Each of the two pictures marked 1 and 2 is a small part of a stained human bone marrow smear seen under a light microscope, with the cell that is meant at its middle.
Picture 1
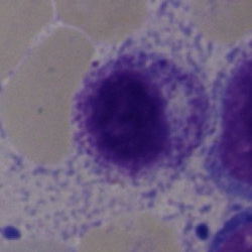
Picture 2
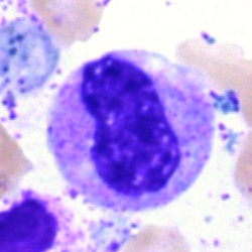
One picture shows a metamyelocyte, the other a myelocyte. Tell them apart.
1: myelocyte
2: metamyelocyte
